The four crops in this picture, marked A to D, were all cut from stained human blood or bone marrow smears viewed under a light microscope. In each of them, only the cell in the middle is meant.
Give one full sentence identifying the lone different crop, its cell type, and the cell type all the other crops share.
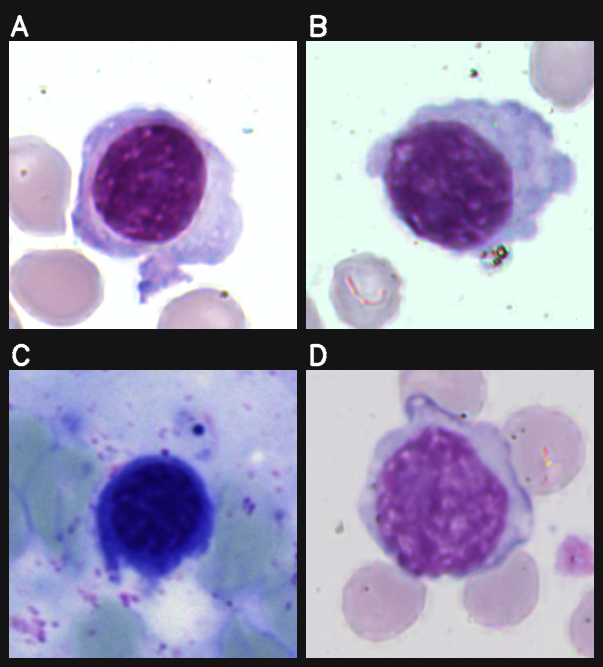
Crop C shows a normoblast; by contrast, all the other crops show plasma cells.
